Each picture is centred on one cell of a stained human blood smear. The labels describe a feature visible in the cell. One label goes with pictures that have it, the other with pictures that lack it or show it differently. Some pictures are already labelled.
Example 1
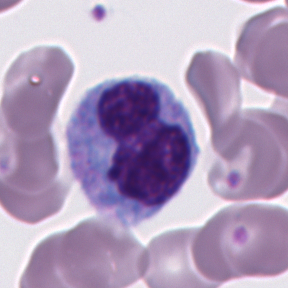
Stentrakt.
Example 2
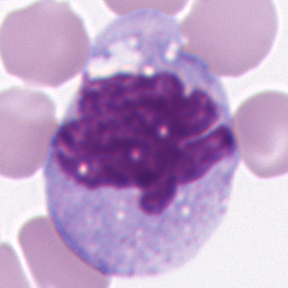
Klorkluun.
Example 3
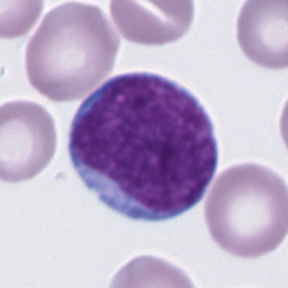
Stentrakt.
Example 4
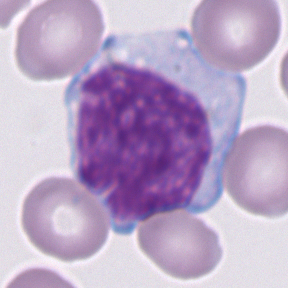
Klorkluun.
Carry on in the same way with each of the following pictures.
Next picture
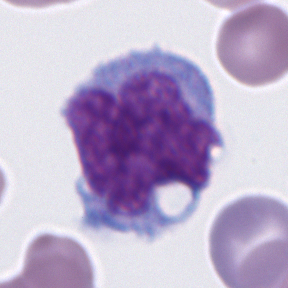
Klorkluun.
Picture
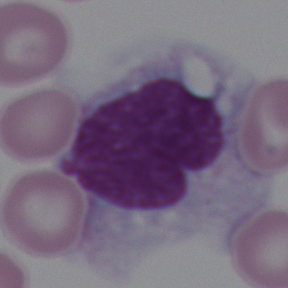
Klorkluun.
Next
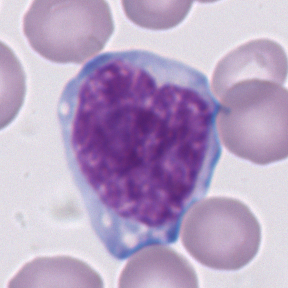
Klorkluun.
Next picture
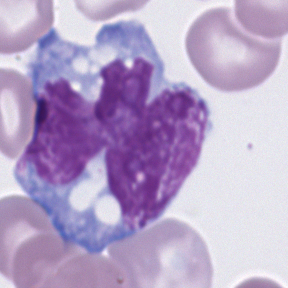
Klorkluun.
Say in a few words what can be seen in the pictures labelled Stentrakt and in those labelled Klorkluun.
Stentrakt, no vacuoles; Klorkluun, vacuoles present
